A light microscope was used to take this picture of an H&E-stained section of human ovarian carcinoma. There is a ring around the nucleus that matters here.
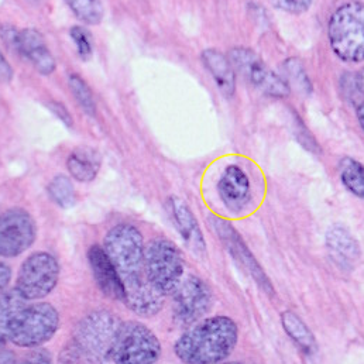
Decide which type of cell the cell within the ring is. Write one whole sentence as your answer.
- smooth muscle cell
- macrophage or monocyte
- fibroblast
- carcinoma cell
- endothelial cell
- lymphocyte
The cell within the ring is a macrophage or monocyte.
